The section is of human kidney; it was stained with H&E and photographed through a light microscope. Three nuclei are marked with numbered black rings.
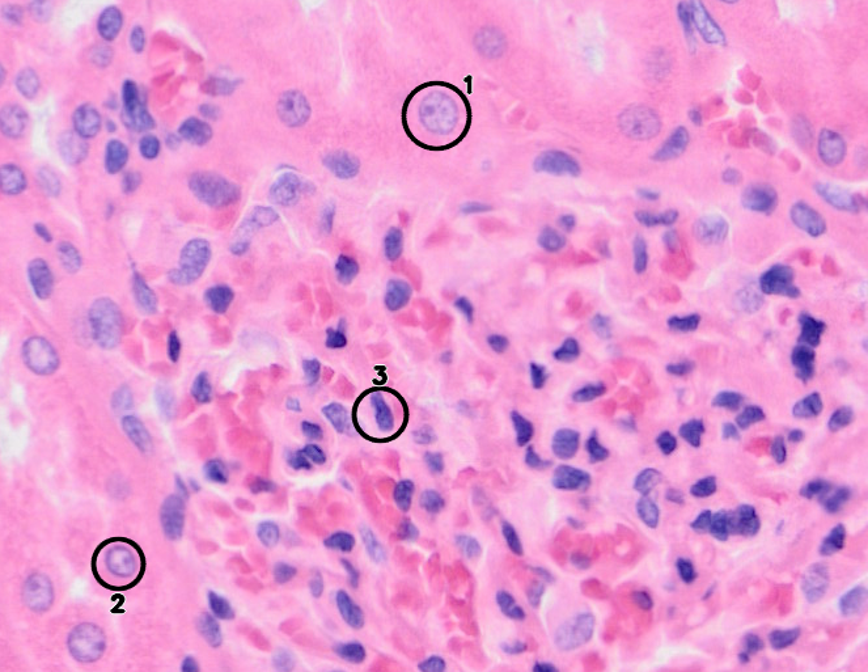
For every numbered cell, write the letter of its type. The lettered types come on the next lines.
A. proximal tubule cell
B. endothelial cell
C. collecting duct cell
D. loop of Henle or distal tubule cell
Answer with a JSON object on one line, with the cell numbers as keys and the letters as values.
{"1": "A", "2": "A", "3": "B"}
